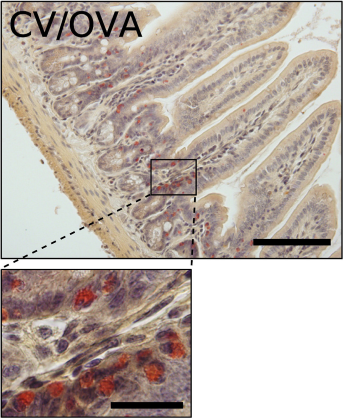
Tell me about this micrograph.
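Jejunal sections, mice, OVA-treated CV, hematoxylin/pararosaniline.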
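This is a section of small intestinal wall with long finger-like villi lined by a columnar epithelium and crypts at their bases, above a thin muscular layer. Numerous mast cells stand out as small round cells with bright red granular cytoplasm. They cluster in the lower mucosa around the crypts and the bases of the villi, with fewer higher up. The surrounding epithelial and stromal nuclei are stained bluish purple against a pale brownish background.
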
